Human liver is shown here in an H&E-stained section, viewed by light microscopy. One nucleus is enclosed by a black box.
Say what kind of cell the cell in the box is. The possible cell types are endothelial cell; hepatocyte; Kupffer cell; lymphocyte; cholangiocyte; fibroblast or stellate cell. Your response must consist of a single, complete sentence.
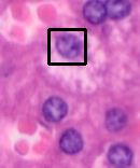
In this section, the cell in the box is a hepatocyte.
